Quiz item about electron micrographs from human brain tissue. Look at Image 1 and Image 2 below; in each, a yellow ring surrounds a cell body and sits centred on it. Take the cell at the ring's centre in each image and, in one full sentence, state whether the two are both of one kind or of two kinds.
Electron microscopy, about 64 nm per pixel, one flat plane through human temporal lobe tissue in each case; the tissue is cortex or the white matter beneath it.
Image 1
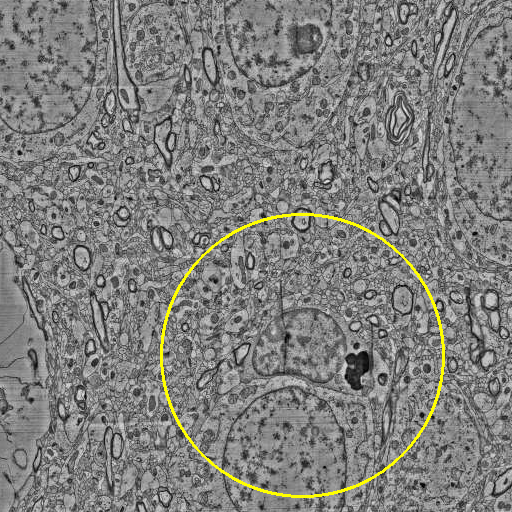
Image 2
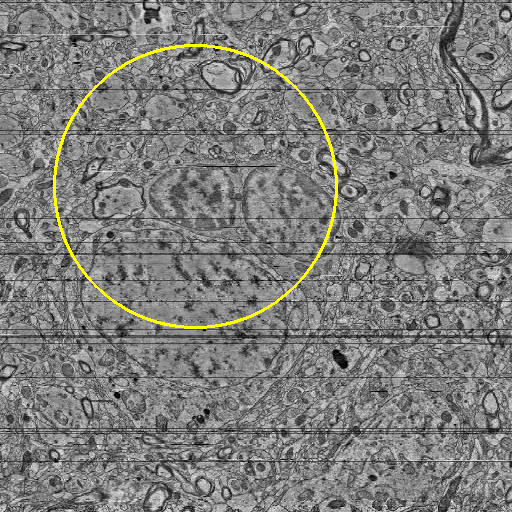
In Image 1 and Image 2, the cells at the ring centres are both of one kind.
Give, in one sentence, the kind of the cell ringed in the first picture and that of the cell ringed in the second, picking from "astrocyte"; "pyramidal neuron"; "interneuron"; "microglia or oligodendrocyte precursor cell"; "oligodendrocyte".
Each of the two rings is centred on an oligodendrocyte.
